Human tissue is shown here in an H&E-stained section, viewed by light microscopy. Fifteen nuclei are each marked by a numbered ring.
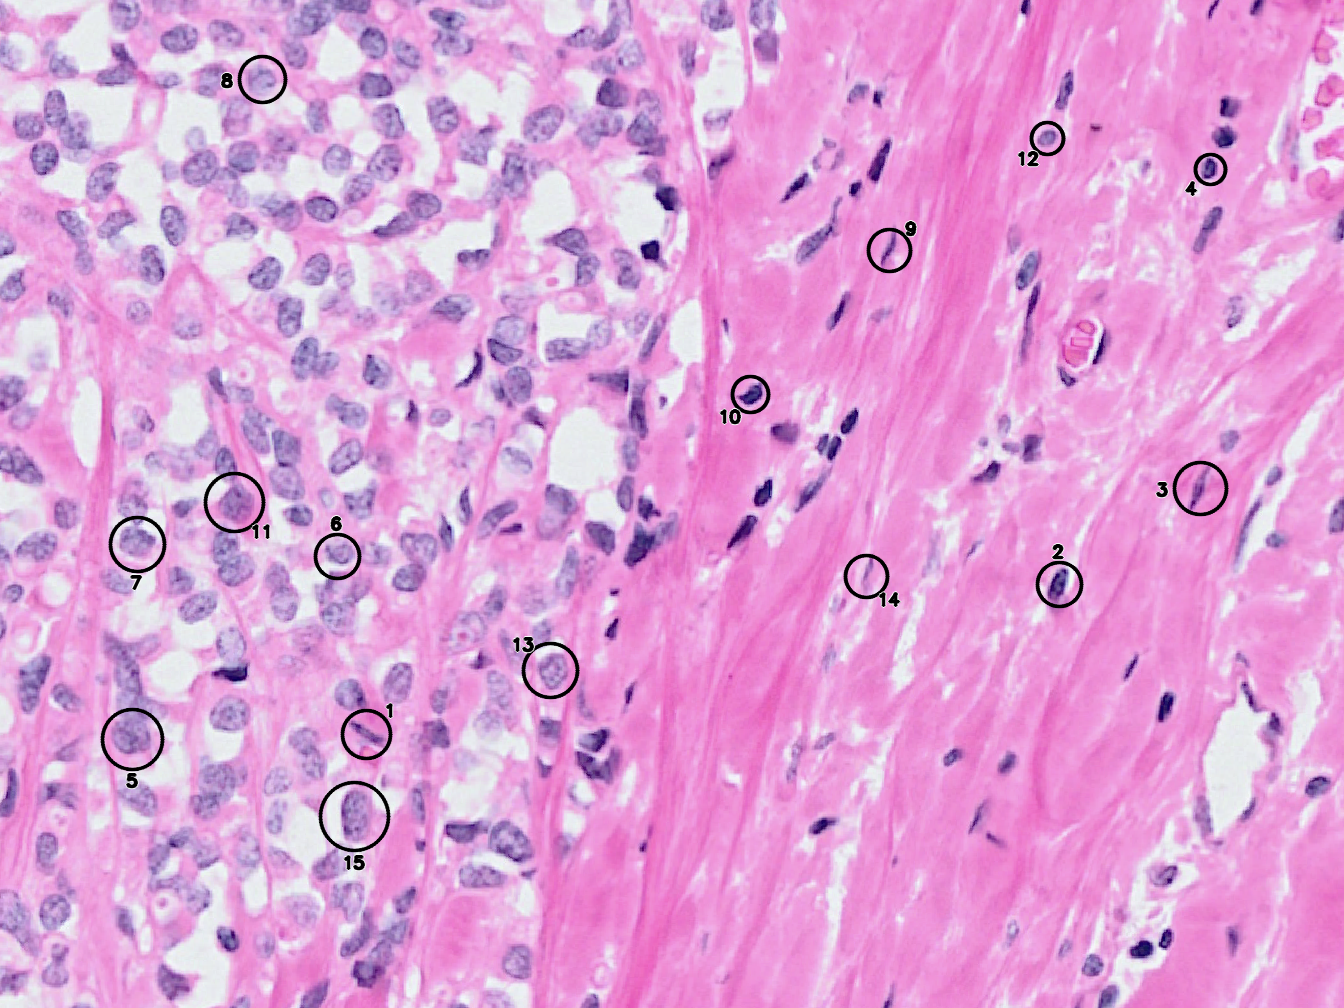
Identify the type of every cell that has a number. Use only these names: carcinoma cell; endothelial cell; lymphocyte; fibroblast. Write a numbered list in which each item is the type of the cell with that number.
1. endothelial cell
2. lymphocyte
3. fibroblast
4. lymphocyte
5. carcinoma cell
6. carcinoma cell
7. carcinoma cell
8. carcinoma cell
9. fibroblast
10. lymphocyte
11. carcinoma cell
12. lymphocyte
13. carcinoma cell
14. fibroblast
15. carcinoma cell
